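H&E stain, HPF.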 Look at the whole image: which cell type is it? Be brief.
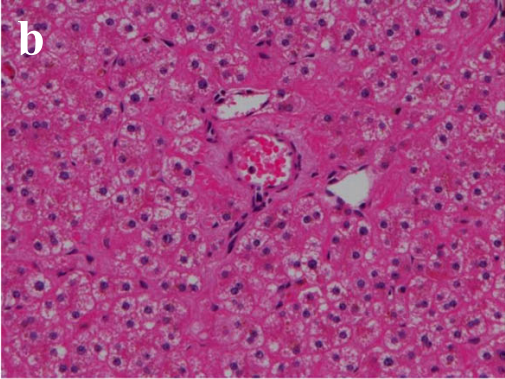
Hepatocytes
